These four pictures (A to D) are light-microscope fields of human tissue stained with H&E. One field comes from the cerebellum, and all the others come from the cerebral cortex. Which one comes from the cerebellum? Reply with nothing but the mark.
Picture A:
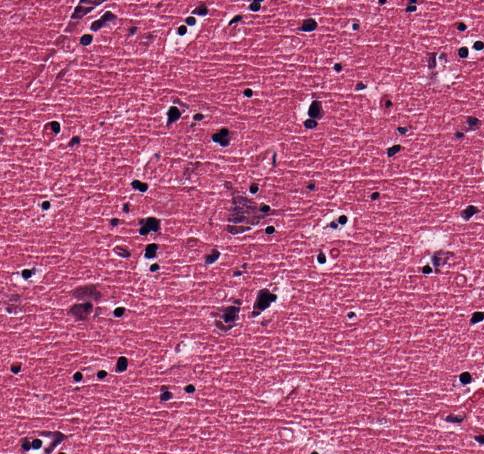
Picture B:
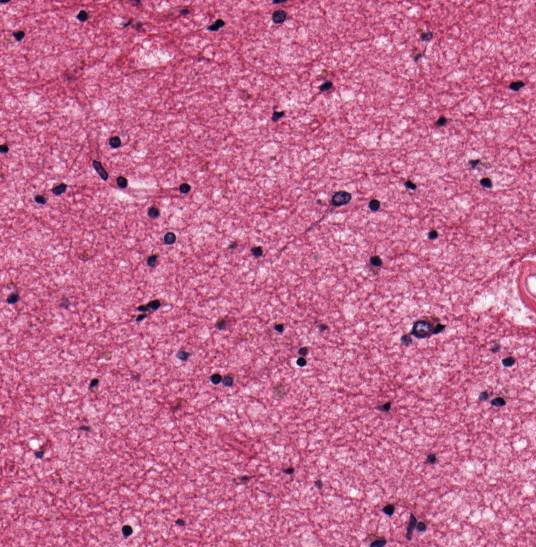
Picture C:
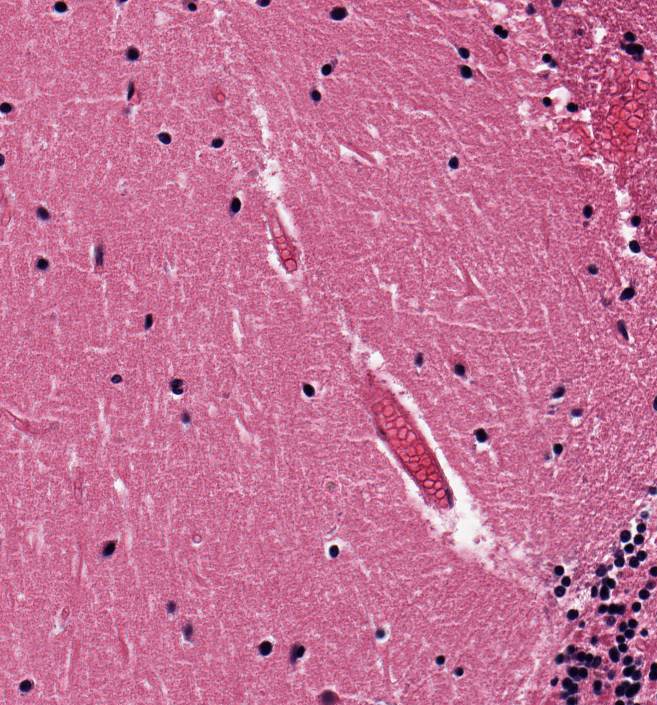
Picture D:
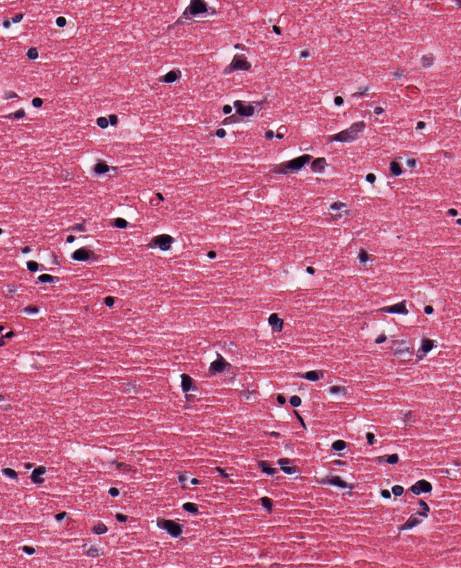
C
